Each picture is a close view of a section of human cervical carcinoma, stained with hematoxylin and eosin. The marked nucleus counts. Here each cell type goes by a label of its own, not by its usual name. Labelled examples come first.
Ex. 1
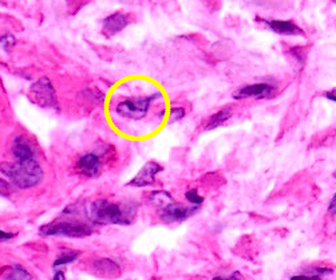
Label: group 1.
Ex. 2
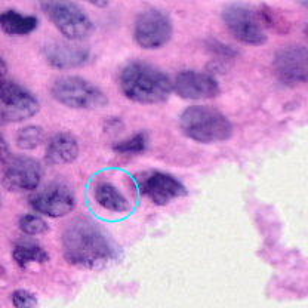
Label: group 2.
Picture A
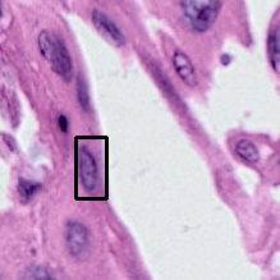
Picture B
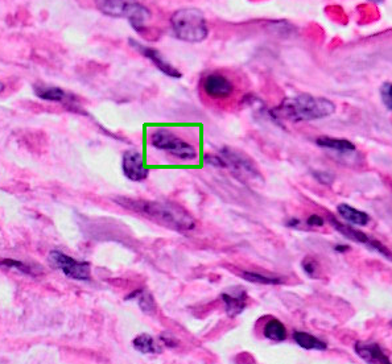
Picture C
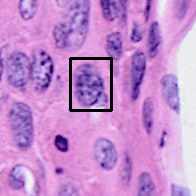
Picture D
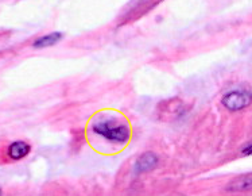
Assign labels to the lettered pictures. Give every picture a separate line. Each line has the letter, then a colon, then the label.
A: group 2.
B: group 1.
C: group 2.
D: group 1.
